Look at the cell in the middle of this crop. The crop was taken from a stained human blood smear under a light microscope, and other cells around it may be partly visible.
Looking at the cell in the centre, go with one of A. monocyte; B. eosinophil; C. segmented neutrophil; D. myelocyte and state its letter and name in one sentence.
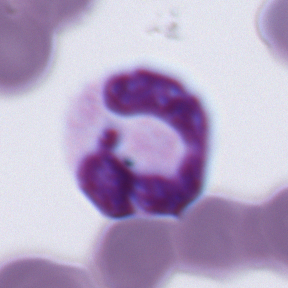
Option C is correct; the cell in the middle is a segmented neutrophil.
